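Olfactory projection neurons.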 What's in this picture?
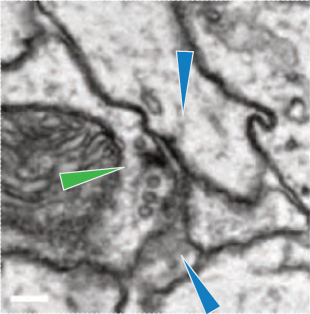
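An electron micrograph of densely packed neuropil, showing a synapse between nerve fibre profiles. On the left a large profile contains a mitochondrion with stacked, curved cristae and, near its edge, a cluster of small round clear vesicles beside a dark electron-dense membrane specialisation. Surrounding it are further membrane-bounded profiles of varying size with pale cytoplasm, their outlines drawn as dark lines.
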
